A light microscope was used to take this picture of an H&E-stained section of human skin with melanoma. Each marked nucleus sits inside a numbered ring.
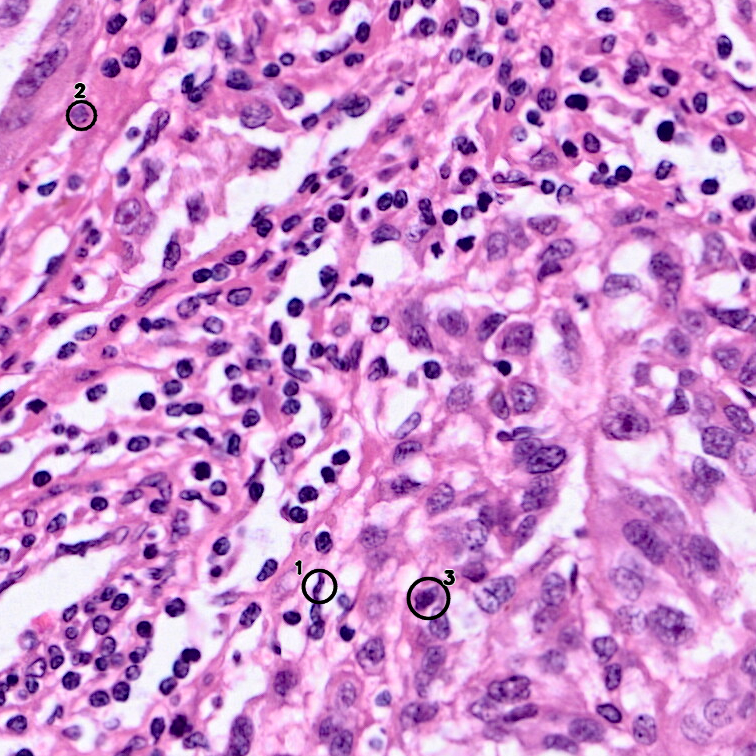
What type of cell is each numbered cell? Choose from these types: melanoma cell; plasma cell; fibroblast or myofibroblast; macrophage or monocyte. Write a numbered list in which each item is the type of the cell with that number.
1. fibroblast or myofibroblast
2. macrophage or monocyte
3. melanoma cell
